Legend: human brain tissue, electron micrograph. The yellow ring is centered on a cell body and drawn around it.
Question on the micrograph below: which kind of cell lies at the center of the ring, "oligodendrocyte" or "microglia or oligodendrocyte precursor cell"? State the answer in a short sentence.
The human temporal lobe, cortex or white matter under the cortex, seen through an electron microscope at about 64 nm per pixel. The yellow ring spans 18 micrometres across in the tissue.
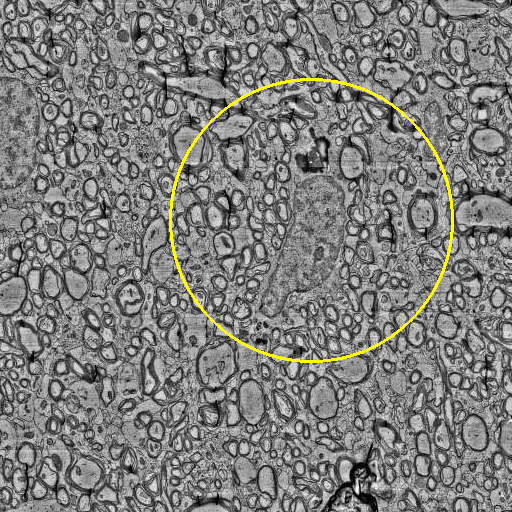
At the center of the ring lies an oligodendrocyte.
